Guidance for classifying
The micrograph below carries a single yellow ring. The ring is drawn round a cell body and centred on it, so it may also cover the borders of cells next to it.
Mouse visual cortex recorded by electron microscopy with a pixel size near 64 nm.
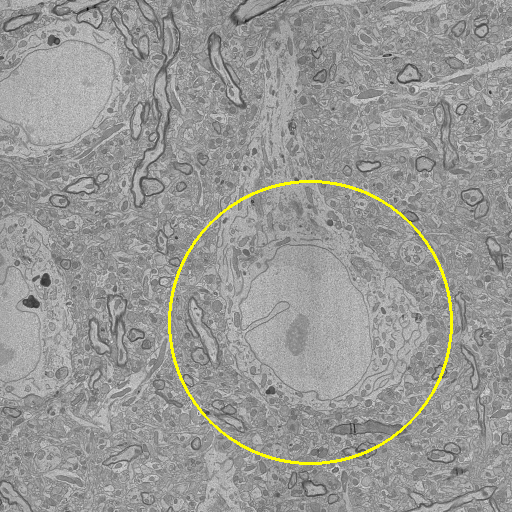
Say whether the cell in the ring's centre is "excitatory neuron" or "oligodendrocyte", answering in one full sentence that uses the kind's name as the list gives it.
Within the yellow ring, an excitatory neuron is the cell whose body sits at the centre.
